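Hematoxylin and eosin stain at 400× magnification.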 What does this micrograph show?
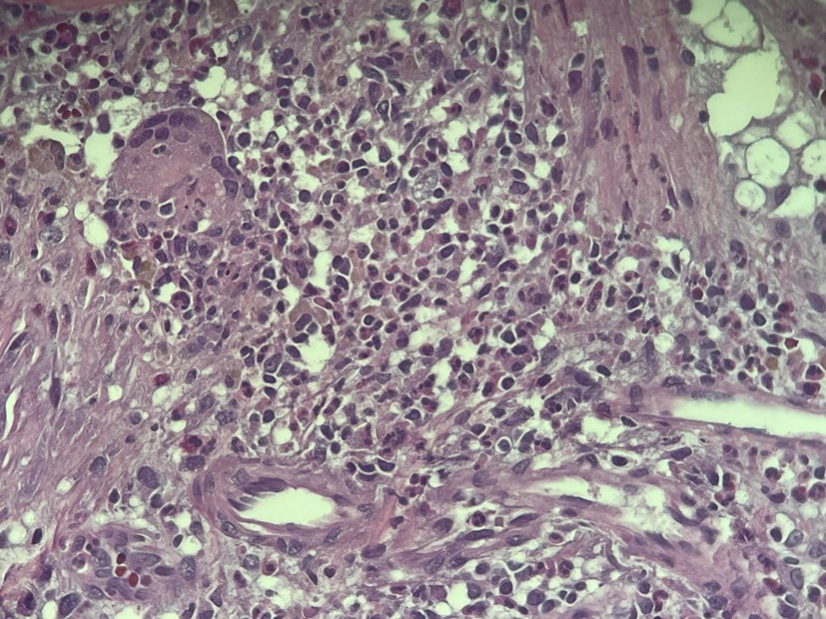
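Loose connective tissue is densely filled with many small round cells with dark purple nuclei, with a scattering of cells that have bright red cytoplasm. In the upper left lies a large multinucleated giant cell with abundant pink cytoplasm. Small vessels with open lumens cross the lower part, and a few fat cells appear as clear spaces at the upper right.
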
